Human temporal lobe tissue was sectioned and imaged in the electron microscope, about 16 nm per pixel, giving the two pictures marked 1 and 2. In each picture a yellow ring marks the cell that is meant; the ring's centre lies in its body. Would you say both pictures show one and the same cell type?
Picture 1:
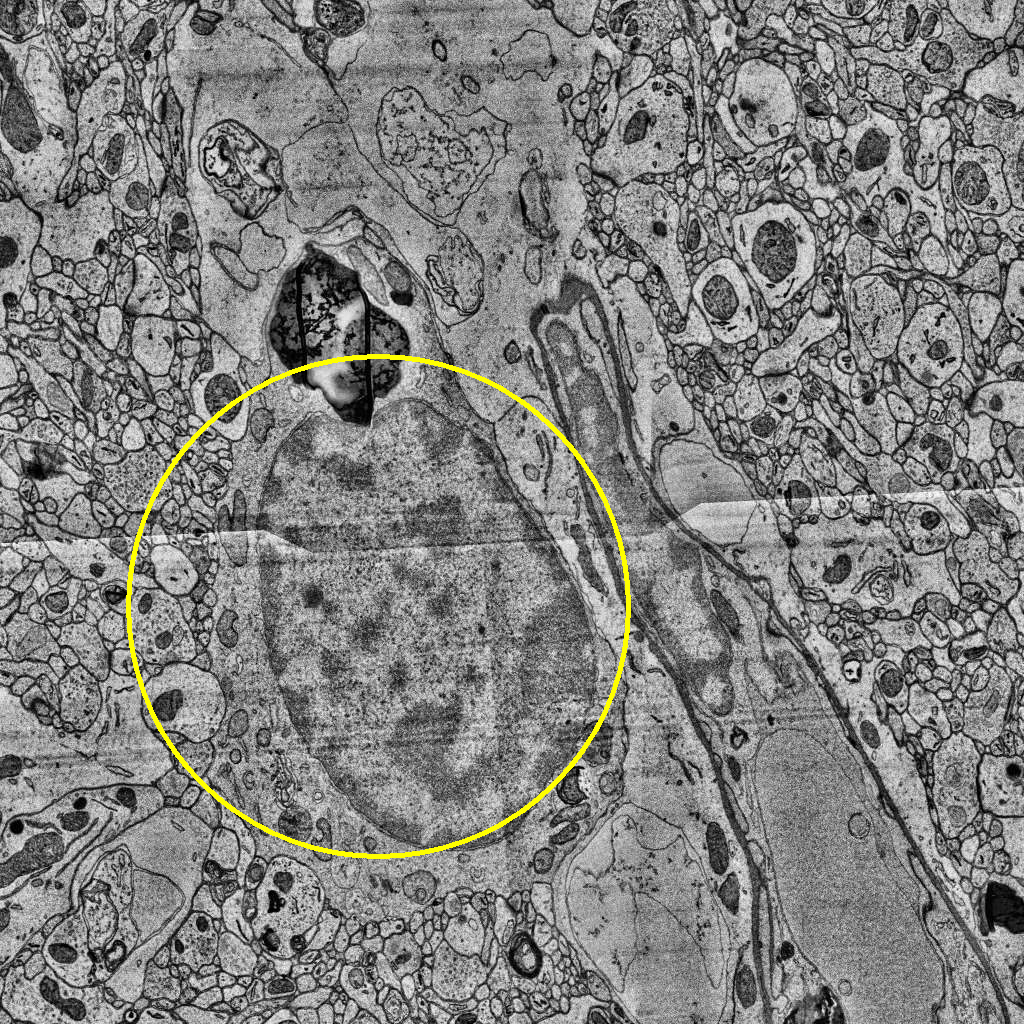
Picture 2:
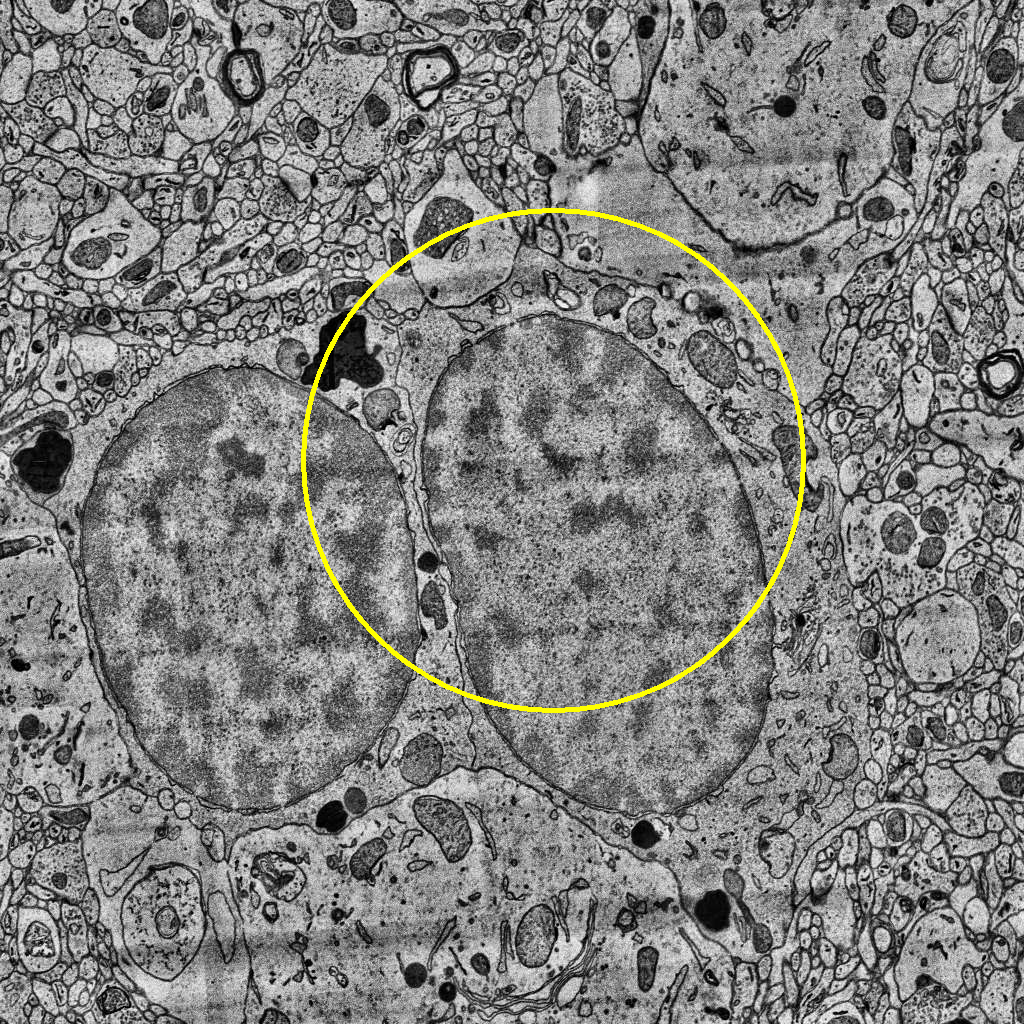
Yes, they are the same type: both are oligodendrocytes.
